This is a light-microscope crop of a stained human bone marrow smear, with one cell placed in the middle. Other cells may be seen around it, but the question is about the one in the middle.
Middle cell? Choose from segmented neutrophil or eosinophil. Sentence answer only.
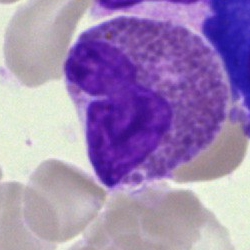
The cell of interest, in the center, is an eosinophil.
